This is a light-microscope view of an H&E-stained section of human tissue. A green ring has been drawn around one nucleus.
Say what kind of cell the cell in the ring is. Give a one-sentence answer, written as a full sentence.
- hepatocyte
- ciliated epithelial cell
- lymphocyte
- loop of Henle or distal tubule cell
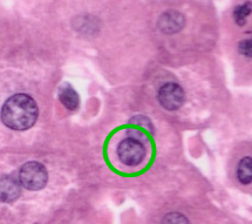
In this preparation, the cell in the ring is a hepatocyte.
